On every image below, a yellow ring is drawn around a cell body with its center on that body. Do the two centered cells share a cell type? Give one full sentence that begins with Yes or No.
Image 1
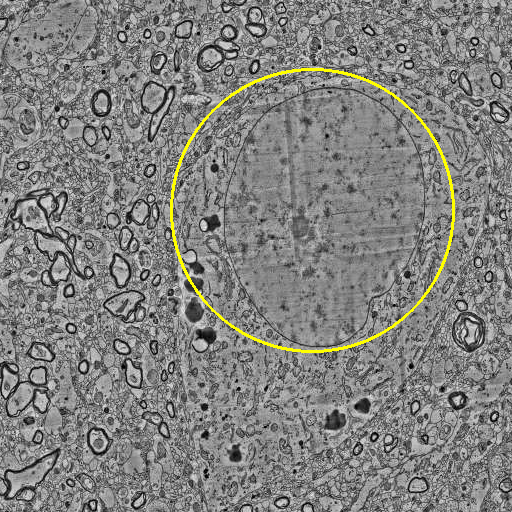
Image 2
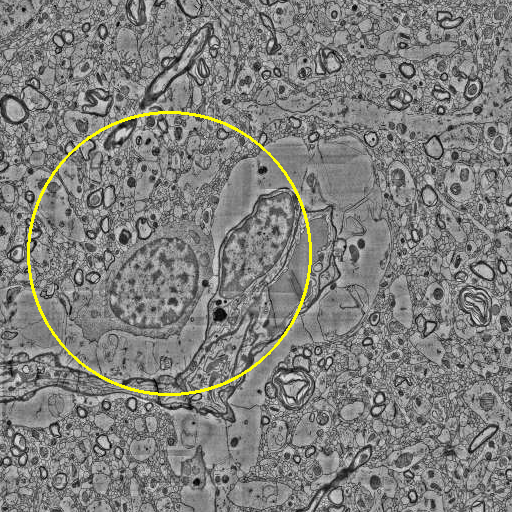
No, the centered cells in the two images are of two separate cell types.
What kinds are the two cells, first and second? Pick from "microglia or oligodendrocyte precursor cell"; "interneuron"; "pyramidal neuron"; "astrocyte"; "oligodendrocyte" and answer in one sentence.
The second picture holds an oligodendrocyte in its ring, and the first holds a pyramidal neuron.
